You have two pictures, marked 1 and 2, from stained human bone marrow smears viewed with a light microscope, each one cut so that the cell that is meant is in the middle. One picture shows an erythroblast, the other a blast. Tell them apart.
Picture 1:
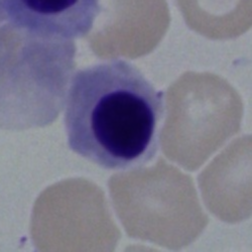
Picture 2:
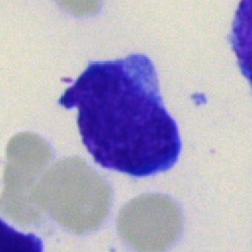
1: erythroblast
2: blast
